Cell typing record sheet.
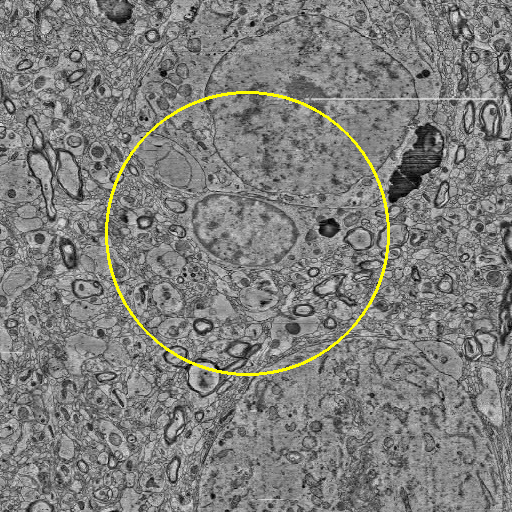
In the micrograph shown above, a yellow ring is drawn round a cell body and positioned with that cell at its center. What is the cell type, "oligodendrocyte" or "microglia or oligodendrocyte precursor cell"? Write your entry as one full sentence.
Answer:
The cell body at the center of the ring belongs to an oligodendrocyte.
